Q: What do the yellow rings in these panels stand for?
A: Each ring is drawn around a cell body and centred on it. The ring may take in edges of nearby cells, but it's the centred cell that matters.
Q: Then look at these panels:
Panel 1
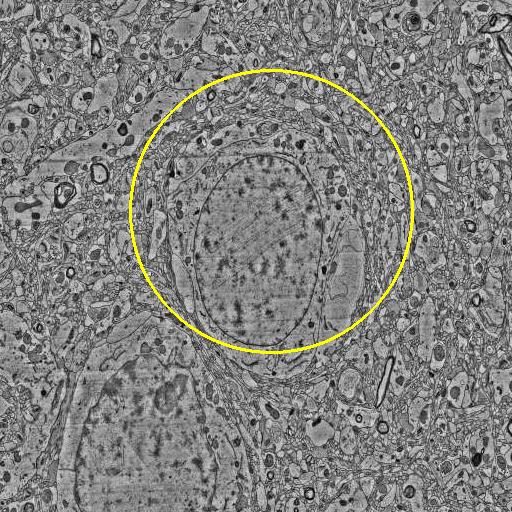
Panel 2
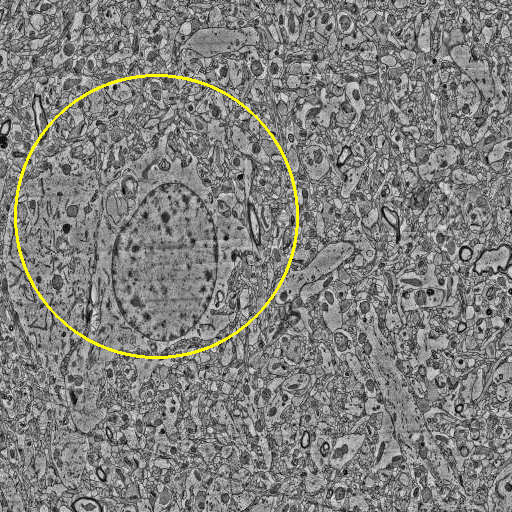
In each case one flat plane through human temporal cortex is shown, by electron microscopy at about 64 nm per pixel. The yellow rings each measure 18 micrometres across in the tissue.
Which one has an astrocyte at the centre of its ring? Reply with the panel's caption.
Panel 2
